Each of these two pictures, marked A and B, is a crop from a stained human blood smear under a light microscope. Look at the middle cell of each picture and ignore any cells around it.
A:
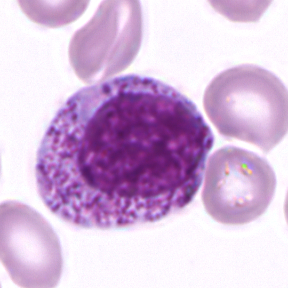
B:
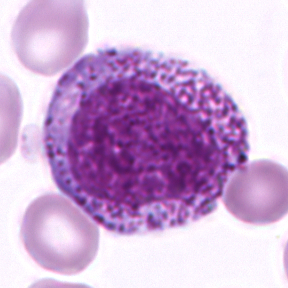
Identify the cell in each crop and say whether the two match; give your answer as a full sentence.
Yes, both crops show myelocytes, and that holds for each one.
